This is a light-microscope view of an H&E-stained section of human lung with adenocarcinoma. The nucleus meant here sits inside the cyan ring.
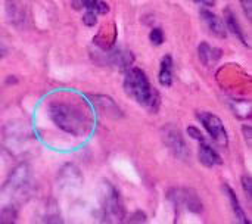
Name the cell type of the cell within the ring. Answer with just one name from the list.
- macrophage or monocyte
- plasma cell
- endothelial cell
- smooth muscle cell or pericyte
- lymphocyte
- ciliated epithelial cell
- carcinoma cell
ciliated epithelial cell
